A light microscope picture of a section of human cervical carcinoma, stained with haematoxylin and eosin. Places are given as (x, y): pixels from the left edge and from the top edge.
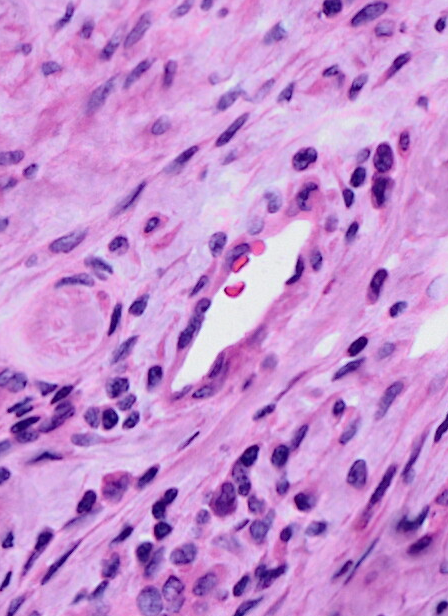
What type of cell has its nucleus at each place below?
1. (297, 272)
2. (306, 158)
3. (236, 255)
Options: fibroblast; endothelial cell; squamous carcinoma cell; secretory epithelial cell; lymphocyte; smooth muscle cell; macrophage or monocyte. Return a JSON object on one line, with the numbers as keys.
{"1": "endothelial cell", "2": "lymphocyte", "3": "endothelial cell"}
